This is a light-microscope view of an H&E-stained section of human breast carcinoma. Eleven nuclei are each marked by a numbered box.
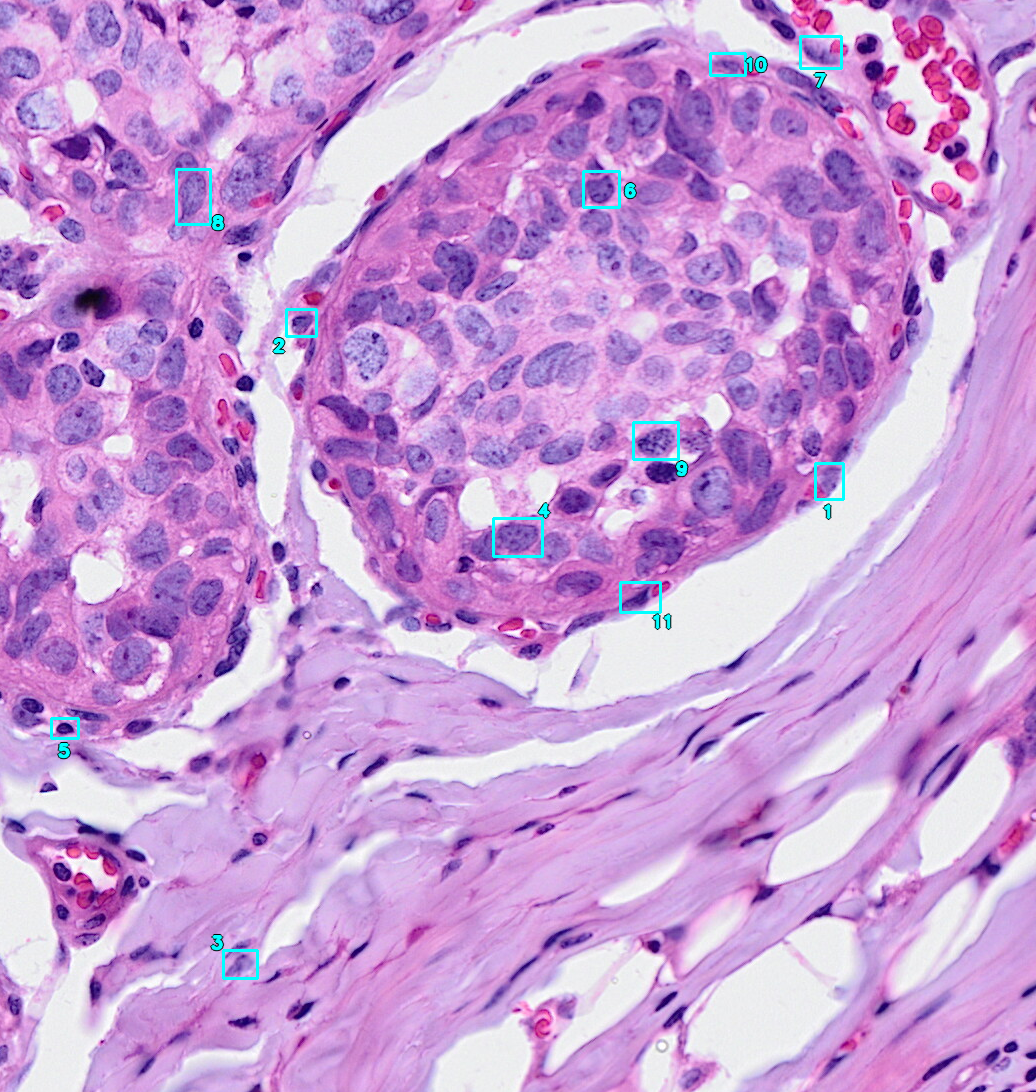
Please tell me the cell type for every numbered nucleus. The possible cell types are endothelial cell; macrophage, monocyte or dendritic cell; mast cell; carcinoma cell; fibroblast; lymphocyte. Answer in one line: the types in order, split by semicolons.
endothelial cell; endothelial cell; fibroblast; carcinoma cell; lymphocyte; carcinoma cell; endothelial cell; carcinoma cell; carcinoma cell; endothelial cell; endothelial cell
